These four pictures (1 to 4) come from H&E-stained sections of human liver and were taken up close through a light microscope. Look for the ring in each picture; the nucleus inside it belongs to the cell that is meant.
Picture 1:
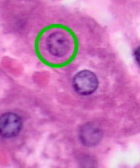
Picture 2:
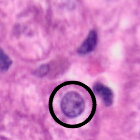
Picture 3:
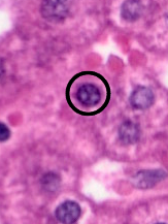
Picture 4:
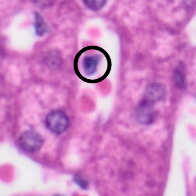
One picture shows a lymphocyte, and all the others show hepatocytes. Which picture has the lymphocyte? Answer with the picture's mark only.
4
